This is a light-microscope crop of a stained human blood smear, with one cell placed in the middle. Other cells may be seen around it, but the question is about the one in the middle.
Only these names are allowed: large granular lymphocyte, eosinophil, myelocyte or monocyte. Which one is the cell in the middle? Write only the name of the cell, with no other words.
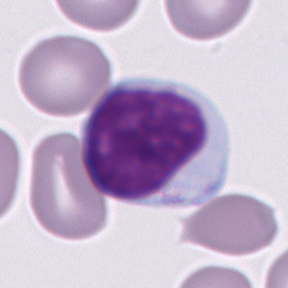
large granular lymphocyte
